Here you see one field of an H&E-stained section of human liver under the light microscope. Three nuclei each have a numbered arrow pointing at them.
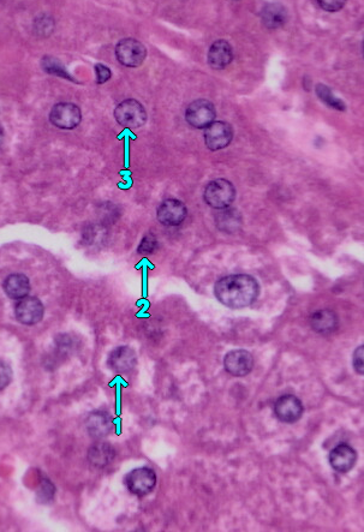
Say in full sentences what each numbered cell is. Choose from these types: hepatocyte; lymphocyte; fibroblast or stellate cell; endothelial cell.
Cells 1 and 3 are hepatocytes. Cell 2 is a fibroblast or stellate cell.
